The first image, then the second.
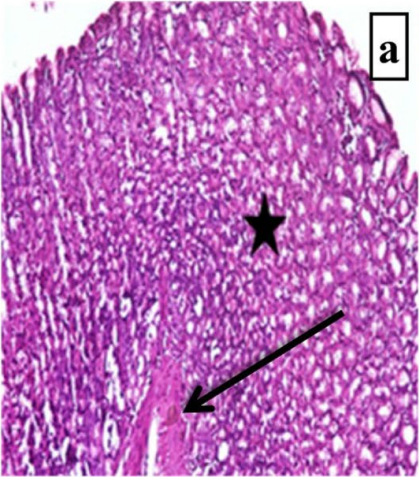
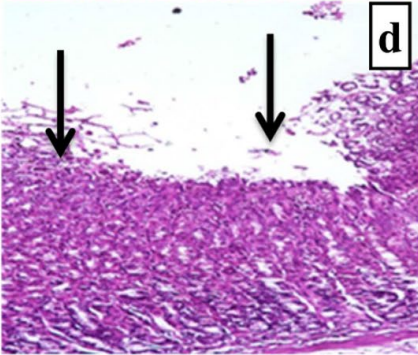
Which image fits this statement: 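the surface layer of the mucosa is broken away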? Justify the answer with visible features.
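The second image. Second image: the mucosal surface is ragged with detached fragments above it. First image: the mucosal surface is continuous and the glands reach it intact.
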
